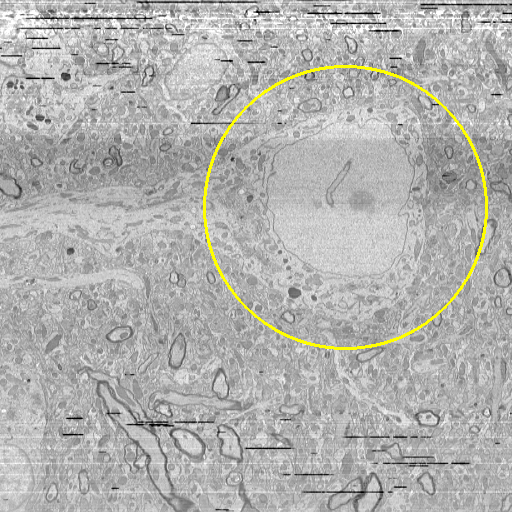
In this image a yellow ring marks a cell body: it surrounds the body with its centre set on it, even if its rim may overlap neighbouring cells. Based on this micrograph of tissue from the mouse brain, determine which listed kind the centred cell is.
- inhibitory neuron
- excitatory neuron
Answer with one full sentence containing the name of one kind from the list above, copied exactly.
It is an excitatory neuron whose body the yellow ring encloses at its centre.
